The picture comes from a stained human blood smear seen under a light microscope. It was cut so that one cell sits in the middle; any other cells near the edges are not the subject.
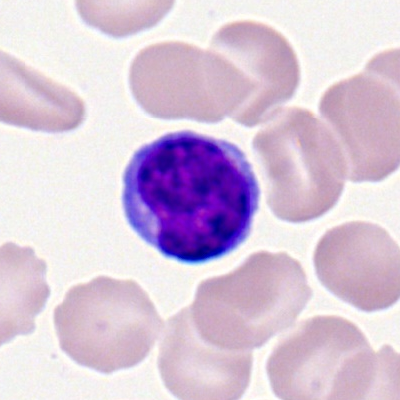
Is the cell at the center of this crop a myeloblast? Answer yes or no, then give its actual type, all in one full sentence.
No, the cell located centrally is a lymphocyte rather than a myeloblast.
